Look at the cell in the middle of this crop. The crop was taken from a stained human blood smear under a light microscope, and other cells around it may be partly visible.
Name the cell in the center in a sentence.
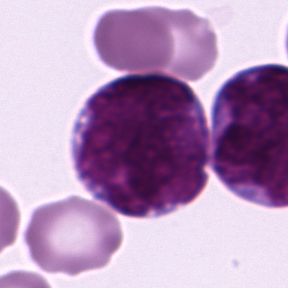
Standing at the centre of this crop is a blast.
